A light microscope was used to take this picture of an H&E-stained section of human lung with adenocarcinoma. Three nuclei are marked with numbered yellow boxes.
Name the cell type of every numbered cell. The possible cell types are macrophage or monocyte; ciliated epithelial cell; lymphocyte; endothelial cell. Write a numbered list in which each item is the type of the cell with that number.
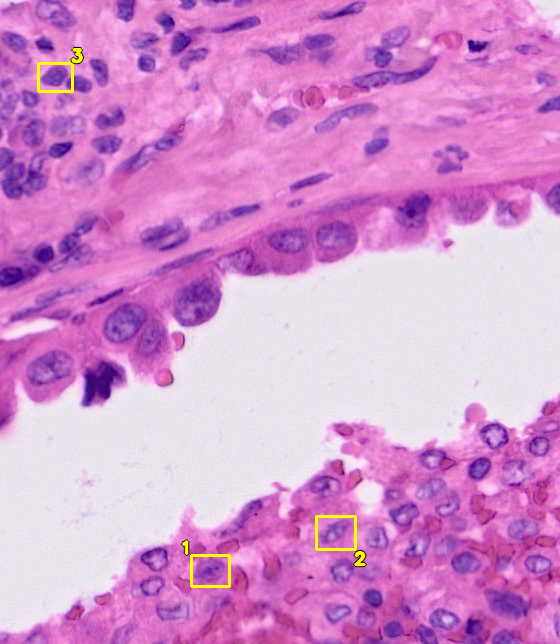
1. macrophage or monocyte
2. macrophage or monocyte
3. lymphocyte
